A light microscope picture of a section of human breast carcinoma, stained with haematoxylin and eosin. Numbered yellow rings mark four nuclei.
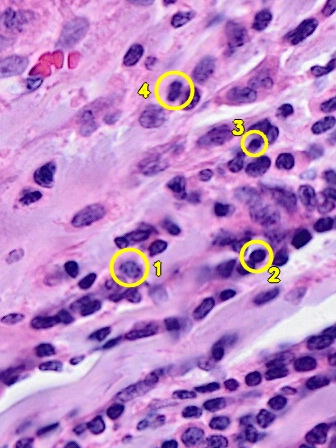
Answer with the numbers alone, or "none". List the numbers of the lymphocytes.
2, 3, 4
